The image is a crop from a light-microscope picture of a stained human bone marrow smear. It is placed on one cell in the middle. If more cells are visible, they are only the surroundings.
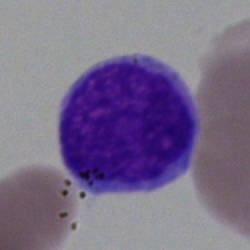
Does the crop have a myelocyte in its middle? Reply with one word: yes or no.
no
